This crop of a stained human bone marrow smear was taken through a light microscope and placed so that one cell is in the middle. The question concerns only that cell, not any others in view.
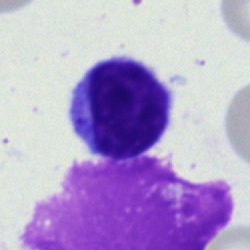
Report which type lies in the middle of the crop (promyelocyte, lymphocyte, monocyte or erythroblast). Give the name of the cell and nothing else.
lymphocyte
